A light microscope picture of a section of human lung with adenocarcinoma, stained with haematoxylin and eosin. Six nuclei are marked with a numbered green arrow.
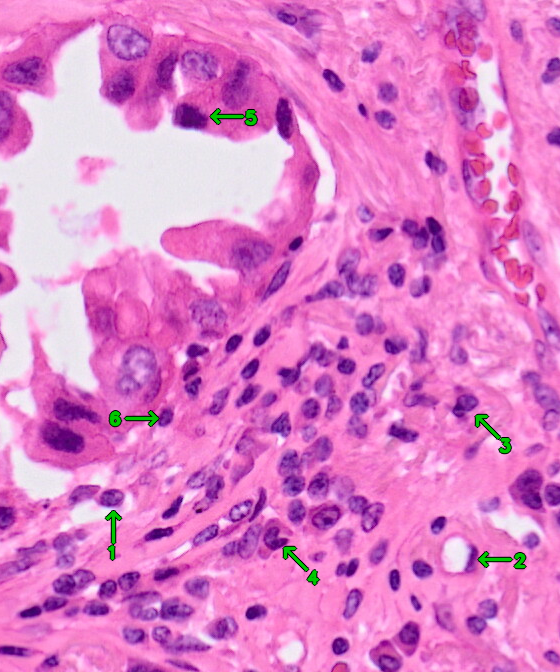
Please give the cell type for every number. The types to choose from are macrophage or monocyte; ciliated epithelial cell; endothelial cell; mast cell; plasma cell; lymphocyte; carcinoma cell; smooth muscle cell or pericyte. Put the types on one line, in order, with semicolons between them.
lymphocyte; endothelial cell; plasma cell; plasma cell; carcinoma cell; lymphocyte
